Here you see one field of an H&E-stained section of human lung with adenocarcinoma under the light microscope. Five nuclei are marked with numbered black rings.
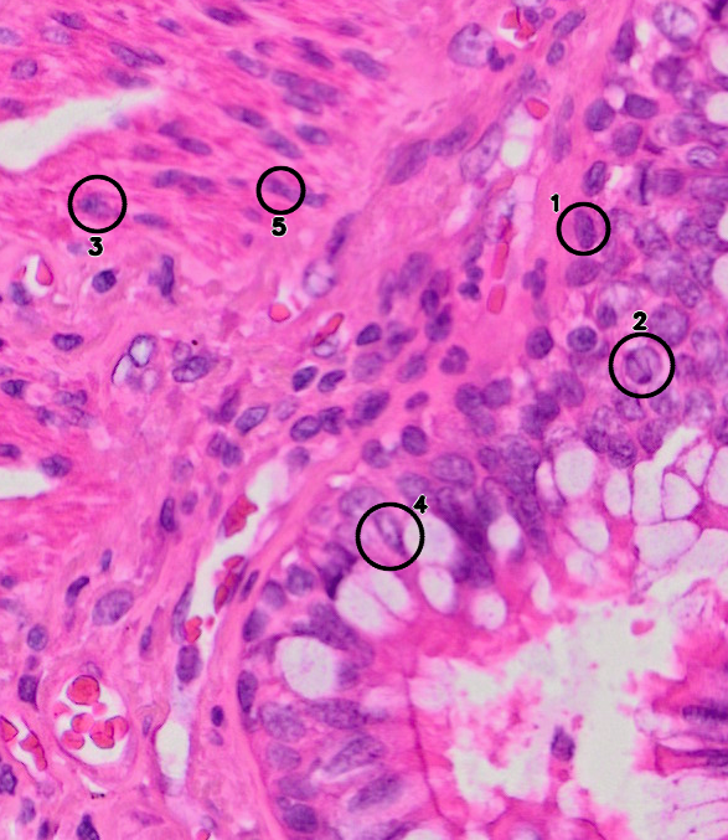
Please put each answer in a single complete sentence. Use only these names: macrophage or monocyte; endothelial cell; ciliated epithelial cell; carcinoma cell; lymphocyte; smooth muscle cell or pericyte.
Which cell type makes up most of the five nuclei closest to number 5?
Smooth muscle cells or pericytes make up most of the five nuclei closest to number 5.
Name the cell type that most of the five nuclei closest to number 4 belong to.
Ciliated epithelial cells make up most of the five nuclei closest to number 4.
